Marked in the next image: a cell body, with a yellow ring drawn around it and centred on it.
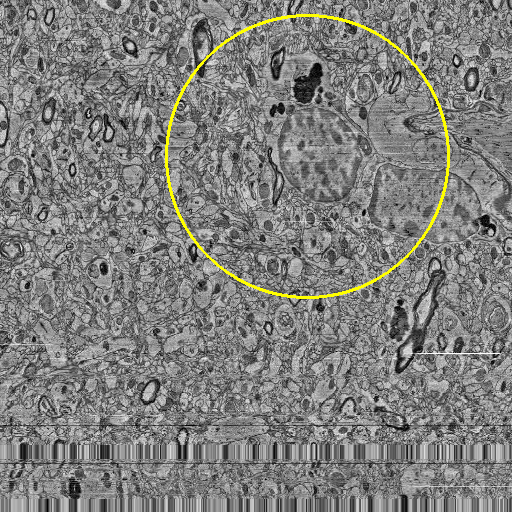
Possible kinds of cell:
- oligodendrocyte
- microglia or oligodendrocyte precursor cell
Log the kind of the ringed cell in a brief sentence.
The ringed cell body is that of an oligodendrocyte.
